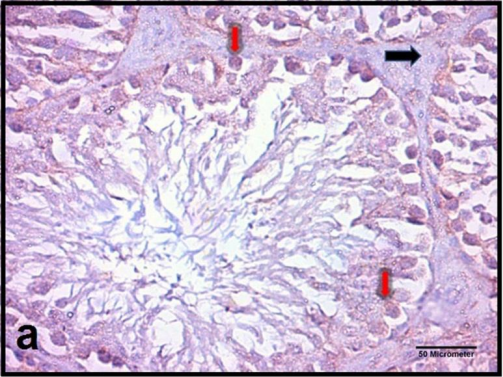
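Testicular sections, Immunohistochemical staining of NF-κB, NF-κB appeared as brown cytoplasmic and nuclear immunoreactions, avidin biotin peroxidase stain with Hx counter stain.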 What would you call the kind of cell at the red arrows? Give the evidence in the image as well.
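Spermatogenic cells. The arrows point to rounded nucleated cells inside the seminiferous tubule epithelium. The cells are stacked in layers from the tubule wall toward the lumen.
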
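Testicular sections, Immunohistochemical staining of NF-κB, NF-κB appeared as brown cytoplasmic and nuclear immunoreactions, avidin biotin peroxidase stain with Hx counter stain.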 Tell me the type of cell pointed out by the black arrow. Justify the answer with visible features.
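Interstitial cells of Leydig. The arrow points into the connective tissue space between seminiferous tubules. The marked cells lie outside the tubule walls.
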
